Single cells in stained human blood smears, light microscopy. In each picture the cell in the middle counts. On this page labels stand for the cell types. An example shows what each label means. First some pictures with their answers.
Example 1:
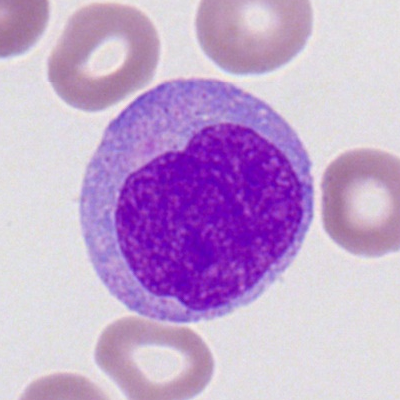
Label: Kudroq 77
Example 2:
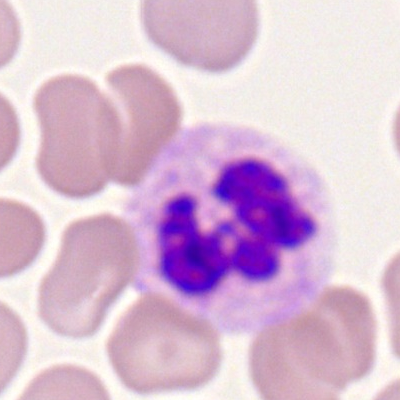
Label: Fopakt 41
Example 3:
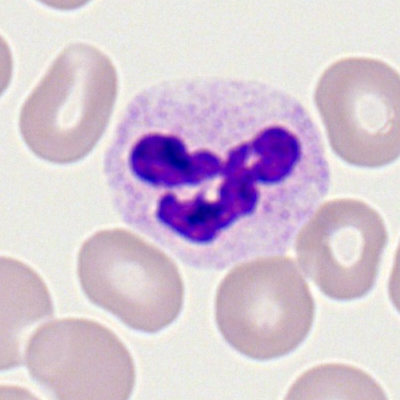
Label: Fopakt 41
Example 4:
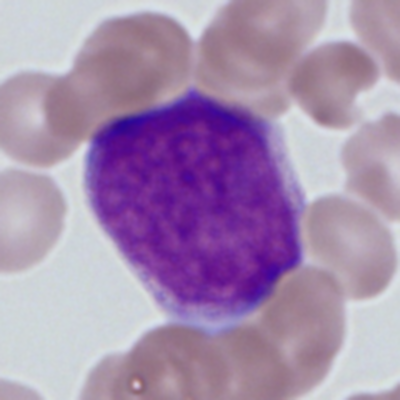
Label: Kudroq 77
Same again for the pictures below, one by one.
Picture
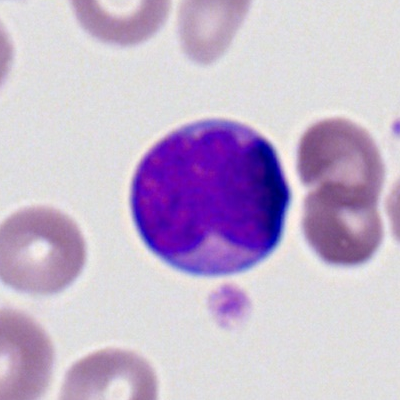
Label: Kudroq 77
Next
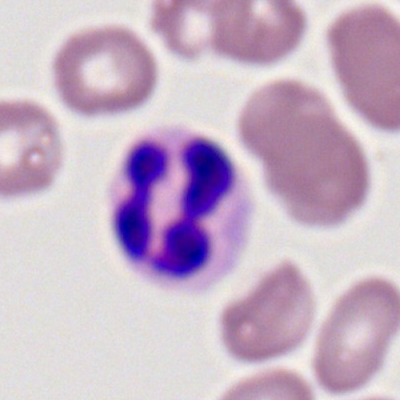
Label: Fopakt 41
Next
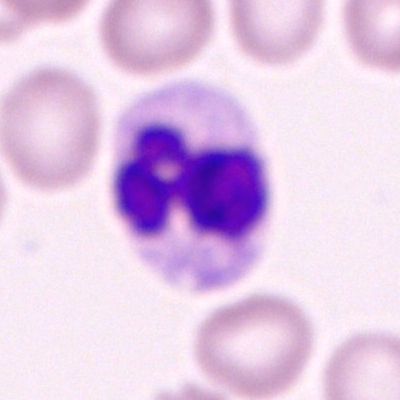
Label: Fopakt 41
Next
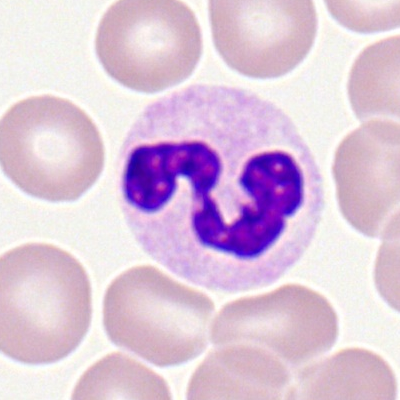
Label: Fopakt 41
